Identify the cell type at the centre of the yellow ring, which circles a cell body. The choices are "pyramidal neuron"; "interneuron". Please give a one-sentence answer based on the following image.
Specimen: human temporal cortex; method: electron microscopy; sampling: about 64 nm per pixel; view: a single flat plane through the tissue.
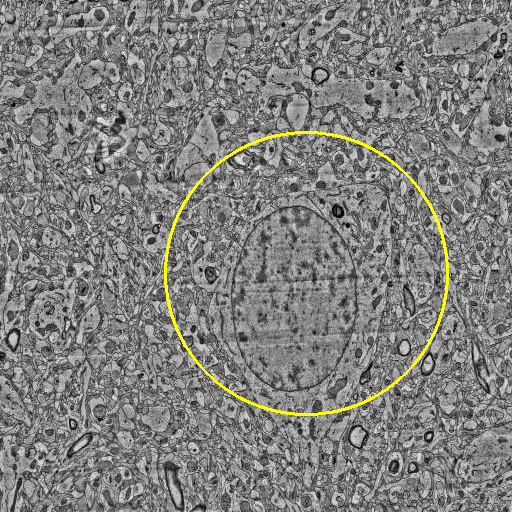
The cell marked by the ring is a pyramidal neuron.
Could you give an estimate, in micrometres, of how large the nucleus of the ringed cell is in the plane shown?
In this plane the nucleus spans approximately 12 by 8 micrometers.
